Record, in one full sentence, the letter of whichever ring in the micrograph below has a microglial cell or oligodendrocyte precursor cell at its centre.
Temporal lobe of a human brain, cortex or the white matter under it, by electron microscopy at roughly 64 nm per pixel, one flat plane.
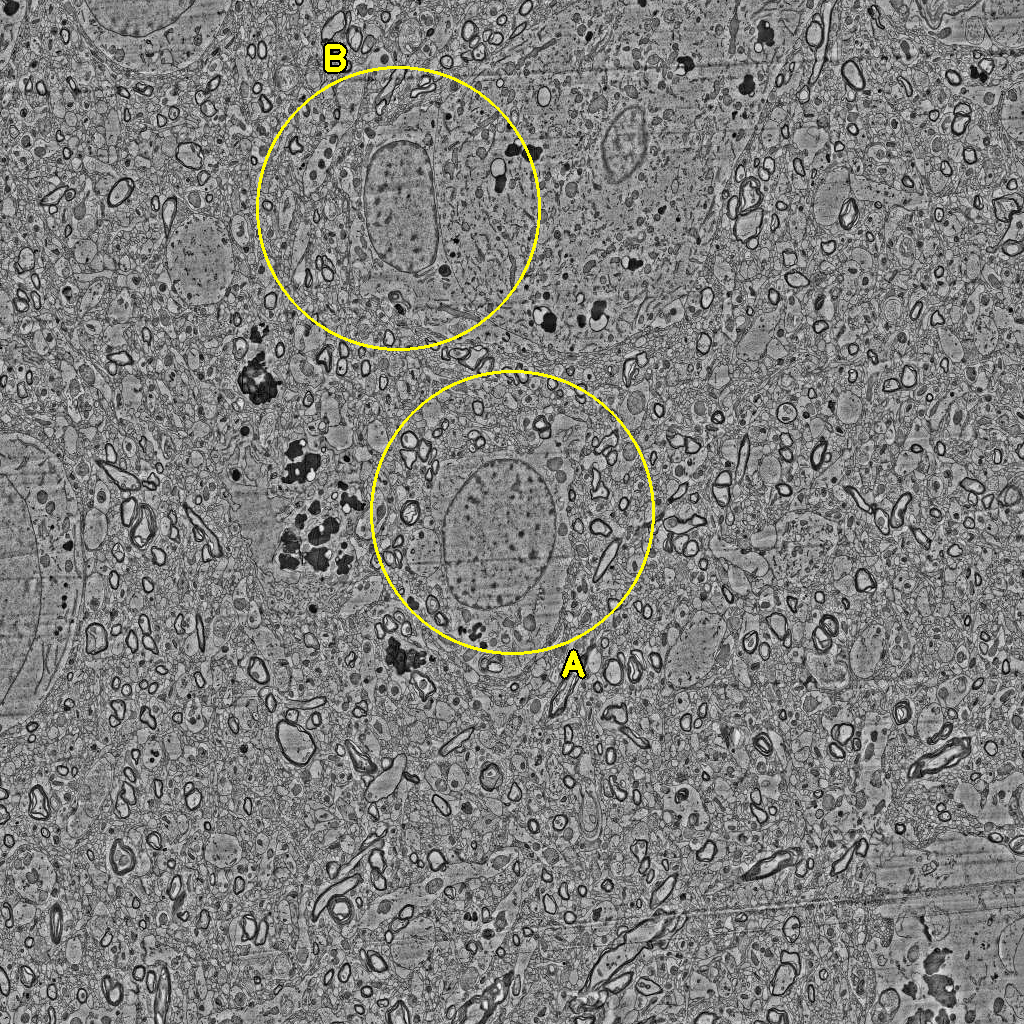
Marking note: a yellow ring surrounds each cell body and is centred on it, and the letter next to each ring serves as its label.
For the cell asked for, the ring centred on it carries the letter B.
